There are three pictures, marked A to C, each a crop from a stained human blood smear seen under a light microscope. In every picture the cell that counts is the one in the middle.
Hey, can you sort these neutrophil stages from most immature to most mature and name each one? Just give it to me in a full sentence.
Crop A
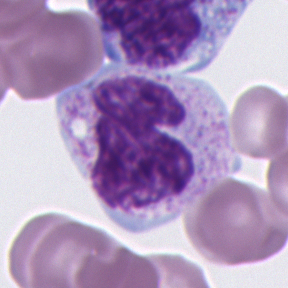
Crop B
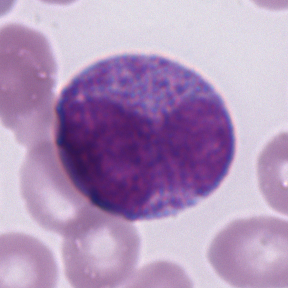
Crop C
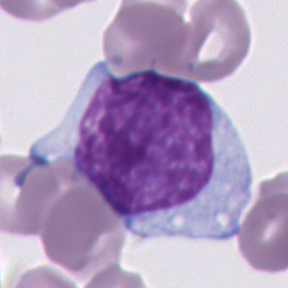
From least to most mature, the cells come in the order crop C (a blast), crop B (a promyelocyte) and crop A (a band neutrophil).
